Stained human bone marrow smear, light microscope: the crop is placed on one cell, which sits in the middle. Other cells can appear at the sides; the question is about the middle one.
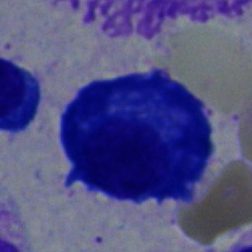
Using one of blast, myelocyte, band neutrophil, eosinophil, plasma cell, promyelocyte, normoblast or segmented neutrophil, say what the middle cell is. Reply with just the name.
plasma cell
